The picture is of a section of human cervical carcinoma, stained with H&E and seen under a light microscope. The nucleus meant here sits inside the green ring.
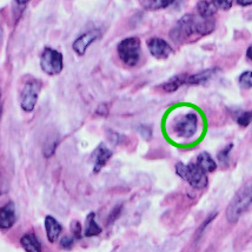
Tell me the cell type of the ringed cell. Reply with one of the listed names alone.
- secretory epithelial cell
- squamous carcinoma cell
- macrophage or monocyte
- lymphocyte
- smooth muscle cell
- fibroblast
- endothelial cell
lymphocyte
